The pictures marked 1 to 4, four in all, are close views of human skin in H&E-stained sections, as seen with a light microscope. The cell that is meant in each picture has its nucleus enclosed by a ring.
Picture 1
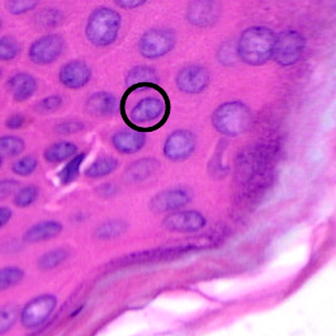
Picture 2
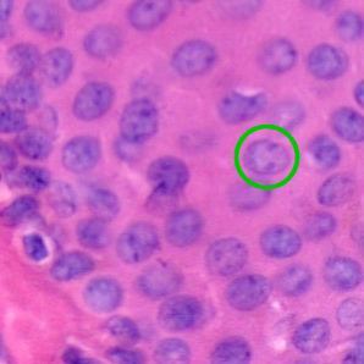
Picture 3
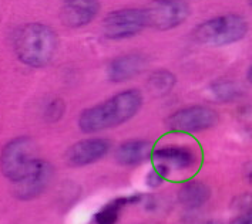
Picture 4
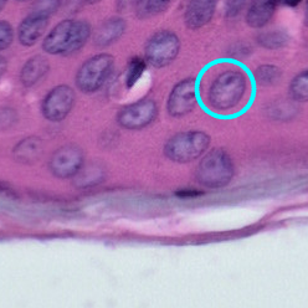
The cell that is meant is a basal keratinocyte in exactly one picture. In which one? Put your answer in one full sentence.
Picture 3 is the one that shows the basal keratinocyte.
